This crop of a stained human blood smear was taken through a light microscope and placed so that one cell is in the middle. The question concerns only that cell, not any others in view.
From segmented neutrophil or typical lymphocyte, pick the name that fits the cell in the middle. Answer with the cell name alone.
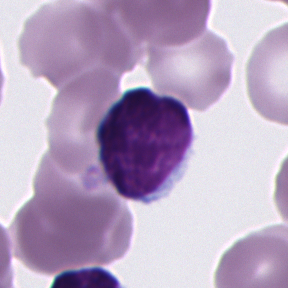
typical lymphocyte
